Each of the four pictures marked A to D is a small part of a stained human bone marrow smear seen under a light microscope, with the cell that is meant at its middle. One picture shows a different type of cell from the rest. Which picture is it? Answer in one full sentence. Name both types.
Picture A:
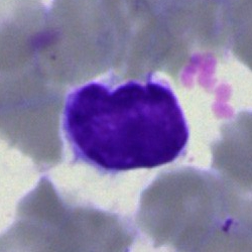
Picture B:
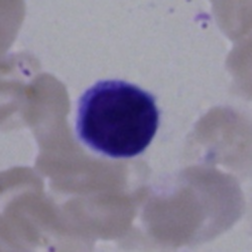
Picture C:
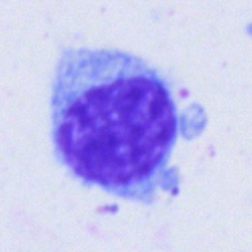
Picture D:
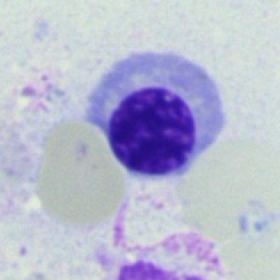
Picture D differs, because its cell is an erythroblast and the rest are lymphocytes.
